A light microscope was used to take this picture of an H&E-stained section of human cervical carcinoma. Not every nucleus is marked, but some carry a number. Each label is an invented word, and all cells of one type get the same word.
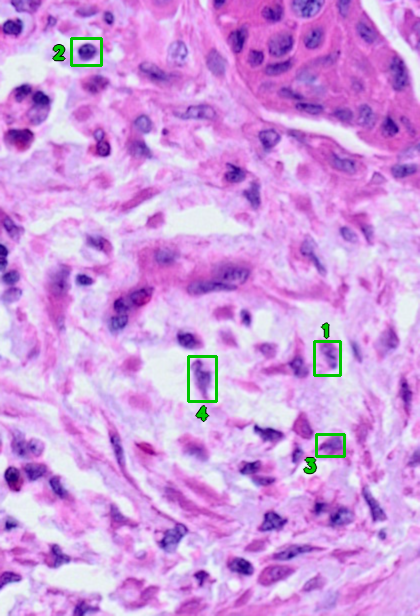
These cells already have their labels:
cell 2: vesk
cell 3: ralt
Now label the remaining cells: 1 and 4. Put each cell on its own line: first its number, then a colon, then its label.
1: ralt
4: ralt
